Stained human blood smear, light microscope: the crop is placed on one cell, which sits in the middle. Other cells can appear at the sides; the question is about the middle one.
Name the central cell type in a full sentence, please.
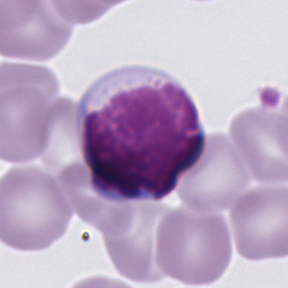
Centrally within this crop lies a large granular lymphocyte.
